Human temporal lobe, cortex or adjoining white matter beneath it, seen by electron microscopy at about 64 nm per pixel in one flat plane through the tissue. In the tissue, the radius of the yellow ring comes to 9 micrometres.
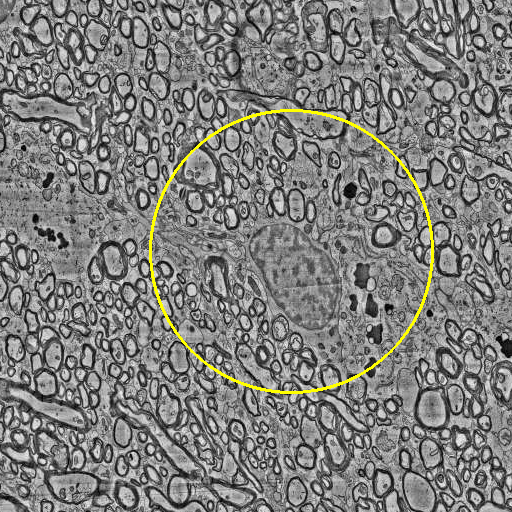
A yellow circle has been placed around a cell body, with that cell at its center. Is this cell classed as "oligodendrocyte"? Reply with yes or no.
Yes, it belongs to that class.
